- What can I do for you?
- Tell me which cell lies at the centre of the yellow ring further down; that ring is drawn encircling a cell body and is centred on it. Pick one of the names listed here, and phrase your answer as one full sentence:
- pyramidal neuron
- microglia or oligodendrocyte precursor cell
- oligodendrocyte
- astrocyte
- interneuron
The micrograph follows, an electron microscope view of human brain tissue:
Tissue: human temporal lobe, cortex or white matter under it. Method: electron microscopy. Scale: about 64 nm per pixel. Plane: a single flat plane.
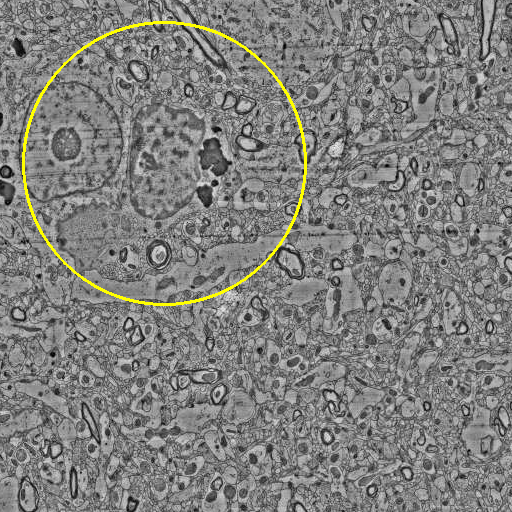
The cell whose body lies at the centre of the yellow ring is an oligodendrocyte.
